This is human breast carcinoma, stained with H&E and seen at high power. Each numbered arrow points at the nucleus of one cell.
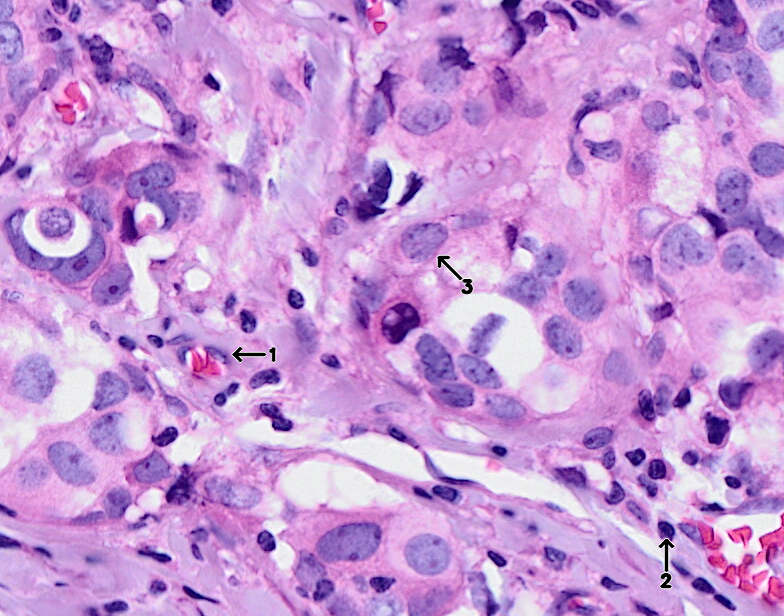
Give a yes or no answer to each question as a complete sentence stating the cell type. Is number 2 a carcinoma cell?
No, the cell given the number 2 is a lymphocyte, so not a carcinoma cell.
